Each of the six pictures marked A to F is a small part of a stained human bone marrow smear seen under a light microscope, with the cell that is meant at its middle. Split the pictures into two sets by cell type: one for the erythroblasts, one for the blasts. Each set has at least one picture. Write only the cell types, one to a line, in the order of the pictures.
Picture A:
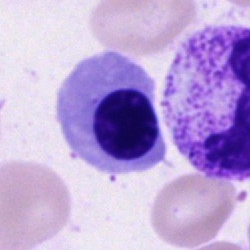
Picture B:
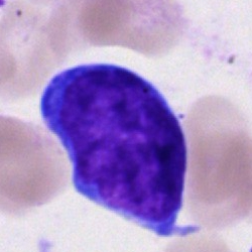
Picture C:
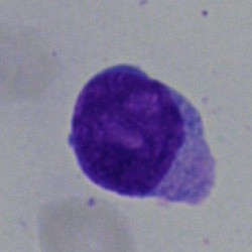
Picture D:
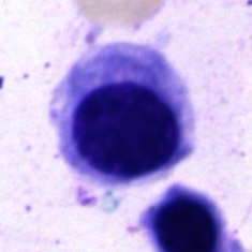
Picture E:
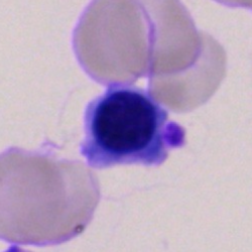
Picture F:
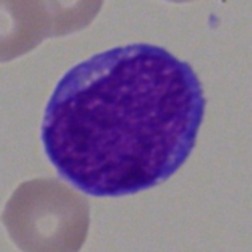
erythroblast
blast
blast
erythroblast
erythroblast
blast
